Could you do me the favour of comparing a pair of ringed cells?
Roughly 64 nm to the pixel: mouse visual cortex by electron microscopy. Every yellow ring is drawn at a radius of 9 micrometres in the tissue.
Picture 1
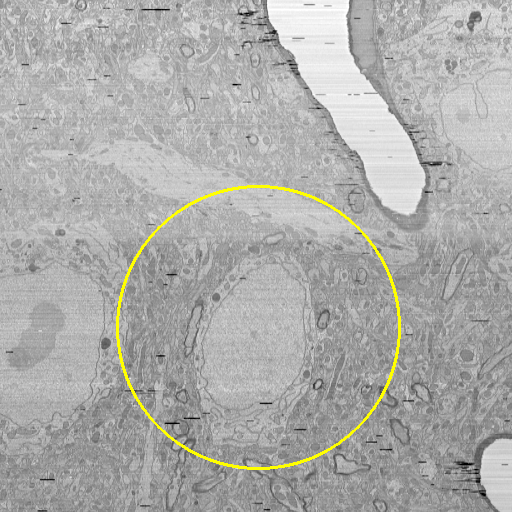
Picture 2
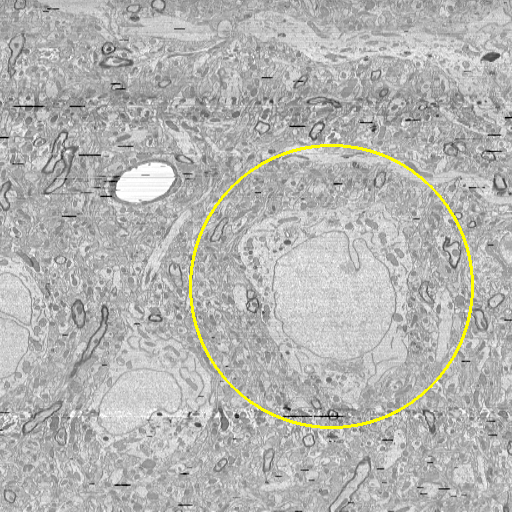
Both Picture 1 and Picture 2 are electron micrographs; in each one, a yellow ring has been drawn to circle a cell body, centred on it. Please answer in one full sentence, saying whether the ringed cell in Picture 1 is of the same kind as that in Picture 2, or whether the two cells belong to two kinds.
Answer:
The ringed cells in Picture 1 and Picture 2 belong to two kinds.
